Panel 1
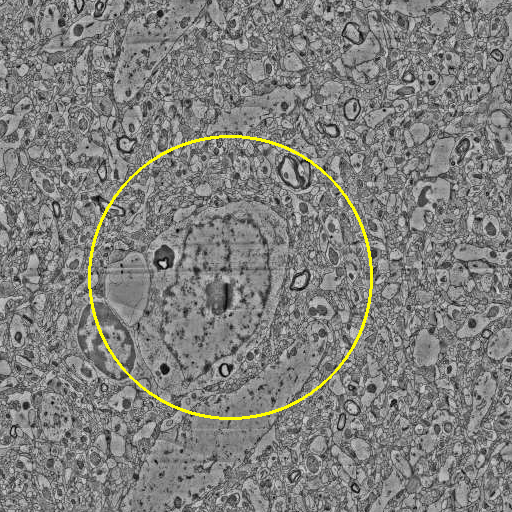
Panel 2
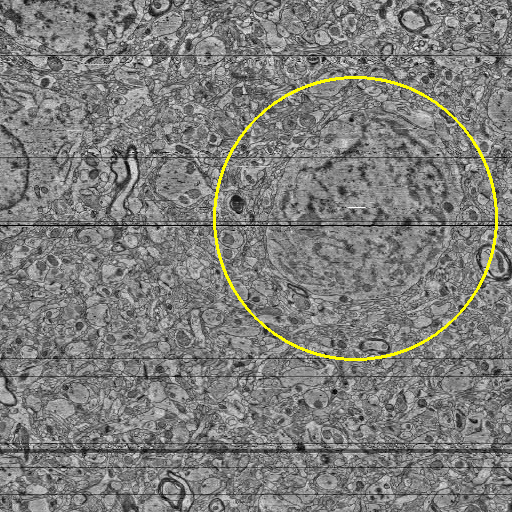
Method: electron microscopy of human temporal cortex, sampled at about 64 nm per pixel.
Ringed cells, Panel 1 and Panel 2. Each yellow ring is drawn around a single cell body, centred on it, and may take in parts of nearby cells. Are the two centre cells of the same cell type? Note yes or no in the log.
yes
